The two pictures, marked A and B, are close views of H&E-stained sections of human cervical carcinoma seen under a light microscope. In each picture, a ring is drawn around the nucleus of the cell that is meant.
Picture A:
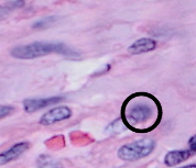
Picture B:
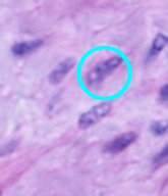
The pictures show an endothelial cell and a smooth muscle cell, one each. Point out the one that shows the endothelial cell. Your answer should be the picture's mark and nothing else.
A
